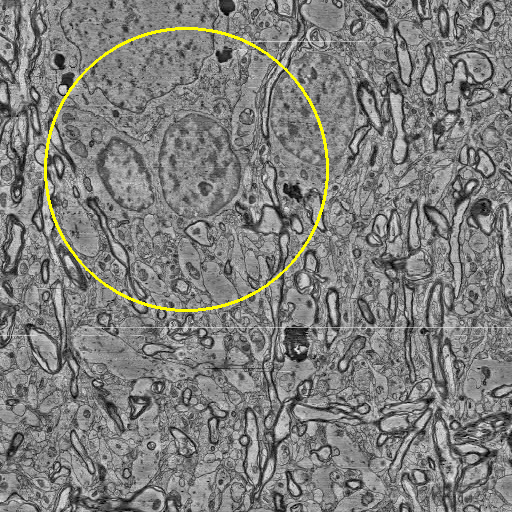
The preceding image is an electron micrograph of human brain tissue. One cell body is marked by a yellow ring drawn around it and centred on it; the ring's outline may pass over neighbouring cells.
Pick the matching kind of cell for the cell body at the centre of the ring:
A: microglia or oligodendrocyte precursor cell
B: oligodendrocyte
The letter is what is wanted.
B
